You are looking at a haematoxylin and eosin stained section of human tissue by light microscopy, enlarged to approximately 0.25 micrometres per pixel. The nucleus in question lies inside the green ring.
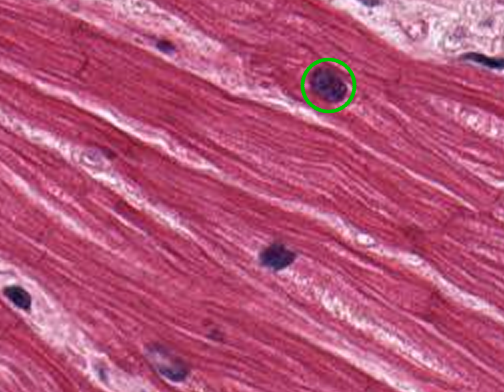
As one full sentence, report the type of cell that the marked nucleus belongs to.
Within the picture, the marked nucleus belongs to a cardiomyocyte.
